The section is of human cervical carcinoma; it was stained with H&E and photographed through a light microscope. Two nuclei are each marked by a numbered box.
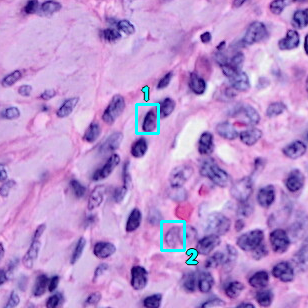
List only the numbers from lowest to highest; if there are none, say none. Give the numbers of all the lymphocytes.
1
